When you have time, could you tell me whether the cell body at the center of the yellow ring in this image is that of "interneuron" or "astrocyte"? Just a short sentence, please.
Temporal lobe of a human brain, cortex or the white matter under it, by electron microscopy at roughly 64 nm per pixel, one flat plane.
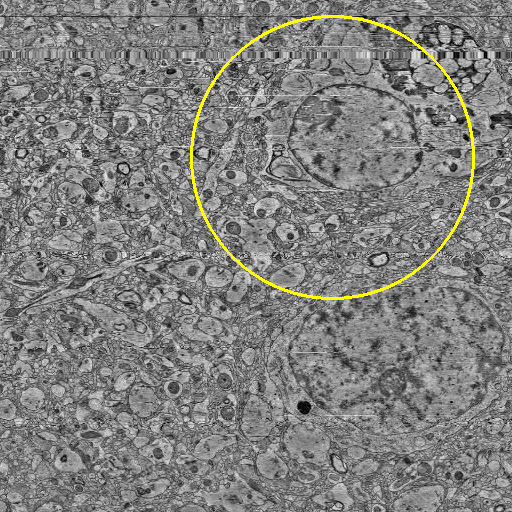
The cell body at the center of the ring is that of an astrocyte.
